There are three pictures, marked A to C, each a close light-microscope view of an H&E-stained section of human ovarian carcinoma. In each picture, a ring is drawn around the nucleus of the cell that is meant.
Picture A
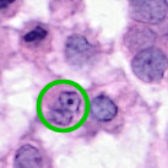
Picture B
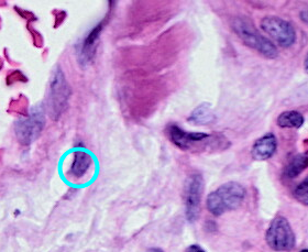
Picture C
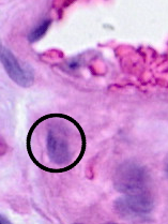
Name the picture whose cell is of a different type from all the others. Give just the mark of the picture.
C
